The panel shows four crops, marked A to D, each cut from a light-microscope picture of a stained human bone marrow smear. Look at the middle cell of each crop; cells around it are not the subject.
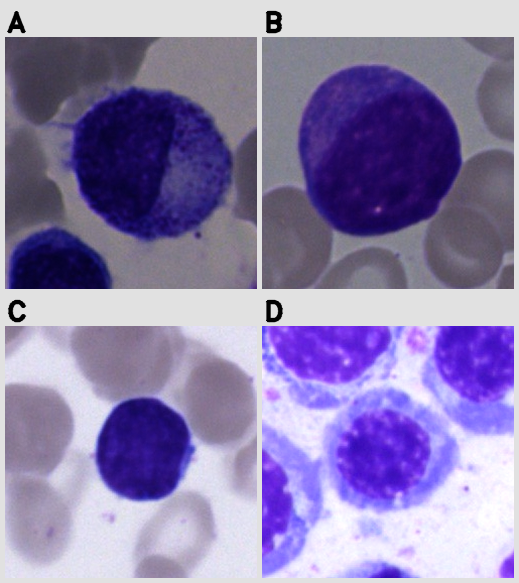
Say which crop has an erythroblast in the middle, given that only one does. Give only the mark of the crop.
D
